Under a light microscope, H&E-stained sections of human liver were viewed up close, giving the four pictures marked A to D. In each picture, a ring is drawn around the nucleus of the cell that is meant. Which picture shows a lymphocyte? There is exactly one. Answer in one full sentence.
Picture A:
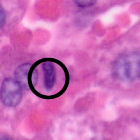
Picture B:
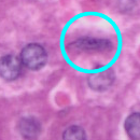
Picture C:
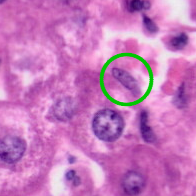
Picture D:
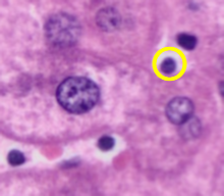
The cell in picture D is the lymphocyte.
